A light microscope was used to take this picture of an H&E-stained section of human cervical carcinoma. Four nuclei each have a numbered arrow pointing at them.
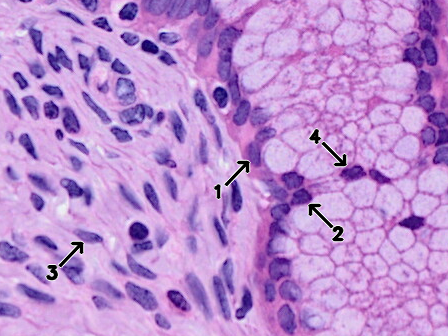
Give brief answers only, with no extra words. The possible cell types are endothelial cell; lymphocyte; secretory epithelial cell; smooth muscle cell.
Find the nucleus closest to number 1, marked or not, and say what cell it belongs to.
secretory epithelial cell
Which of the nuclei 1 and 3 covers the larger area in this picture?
1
